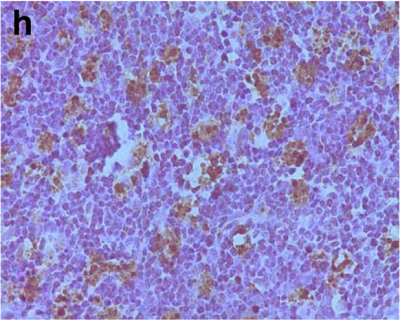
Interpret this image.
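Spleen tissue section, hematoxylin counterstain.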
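The cells are packed tightly with very little cytoplasm visible between the nuclei. The brown nuclei often lie in small clusters, and some appear granular or broken into fragments. Pale, lightly stained spaces interrupt the dense sheets of lymphocytes in places.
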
